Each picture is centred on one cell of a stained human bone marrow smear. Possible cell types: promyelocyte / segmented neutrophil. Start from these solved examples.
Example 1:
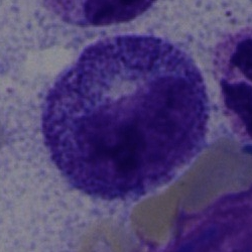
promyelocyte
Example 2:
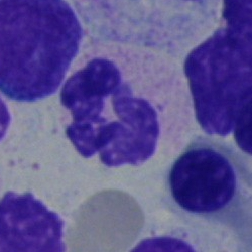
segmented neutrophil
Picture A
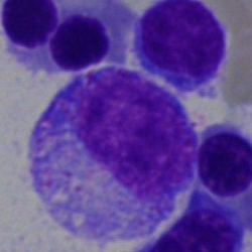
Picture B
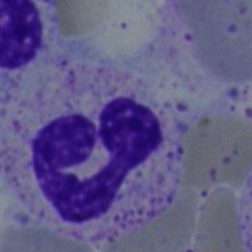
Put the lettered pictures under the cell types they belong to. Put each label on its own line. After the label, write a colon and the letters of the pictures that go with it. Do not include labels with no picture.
promyelocyte: A
segmented neutrophil: B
